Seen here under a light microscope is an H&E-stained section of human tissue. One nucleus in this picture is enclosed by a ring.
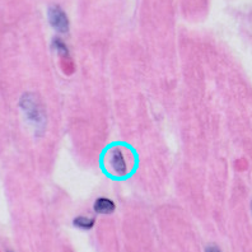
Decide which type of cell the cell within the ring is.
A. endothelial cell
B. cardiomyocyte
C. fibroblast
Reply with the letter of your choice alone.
C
